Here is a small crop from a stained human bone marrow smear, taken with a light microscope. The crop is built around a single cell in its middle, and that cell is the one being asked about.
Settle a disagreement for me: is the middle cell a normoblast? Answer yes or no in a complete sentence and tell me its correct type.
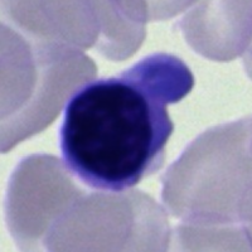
Yes, the crop is centred on a normoblast.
